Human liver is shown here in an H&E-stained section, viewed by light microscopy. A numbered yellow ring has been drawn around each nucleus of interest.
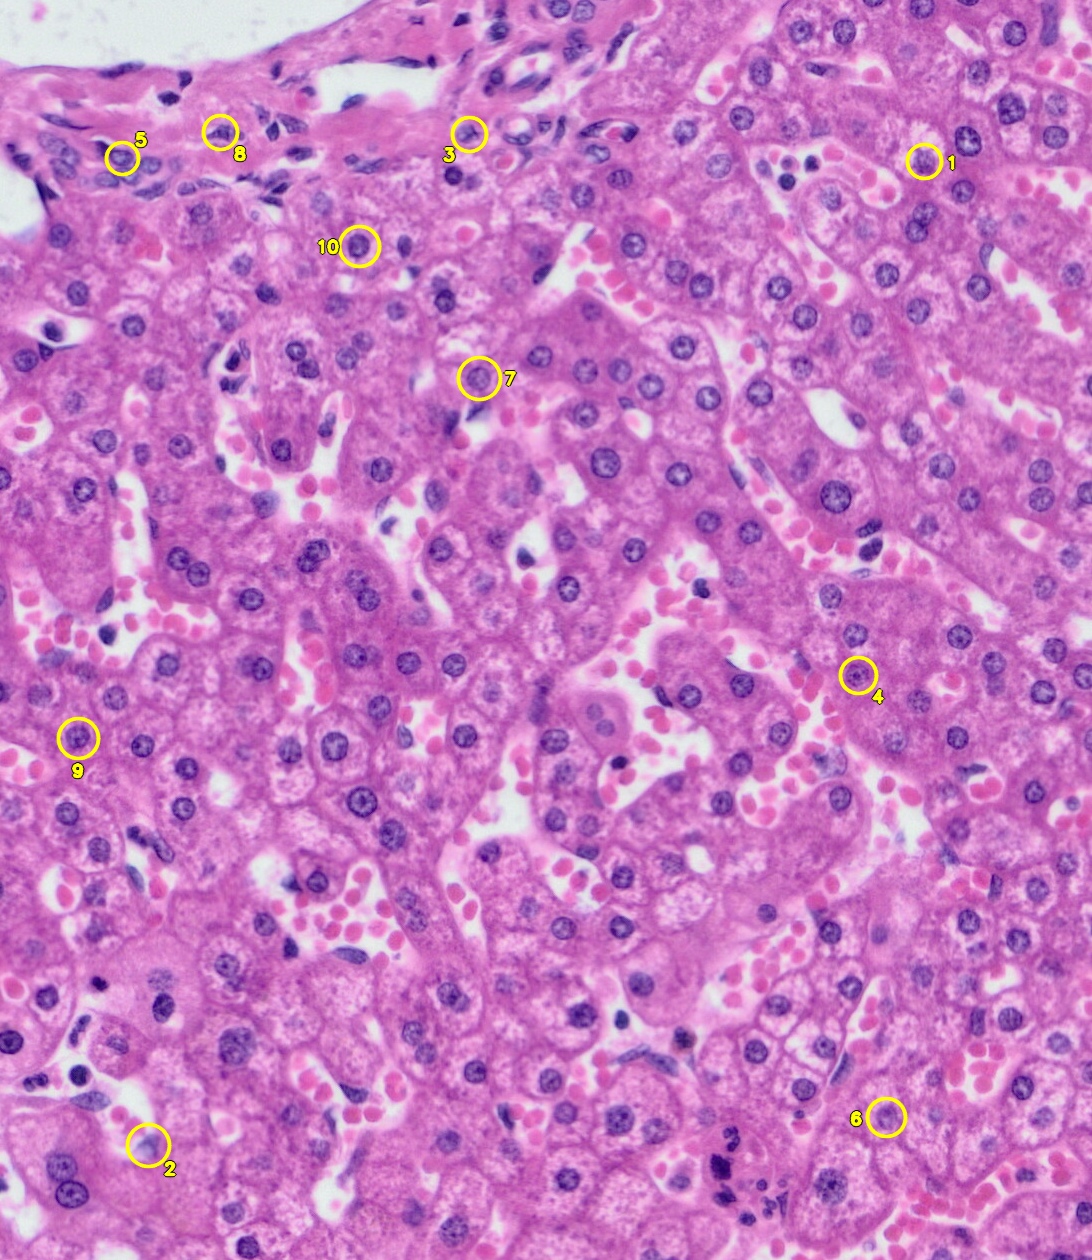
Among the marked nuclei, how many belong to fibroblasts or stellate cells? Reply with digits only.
2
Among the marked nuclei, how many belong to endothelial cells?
1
